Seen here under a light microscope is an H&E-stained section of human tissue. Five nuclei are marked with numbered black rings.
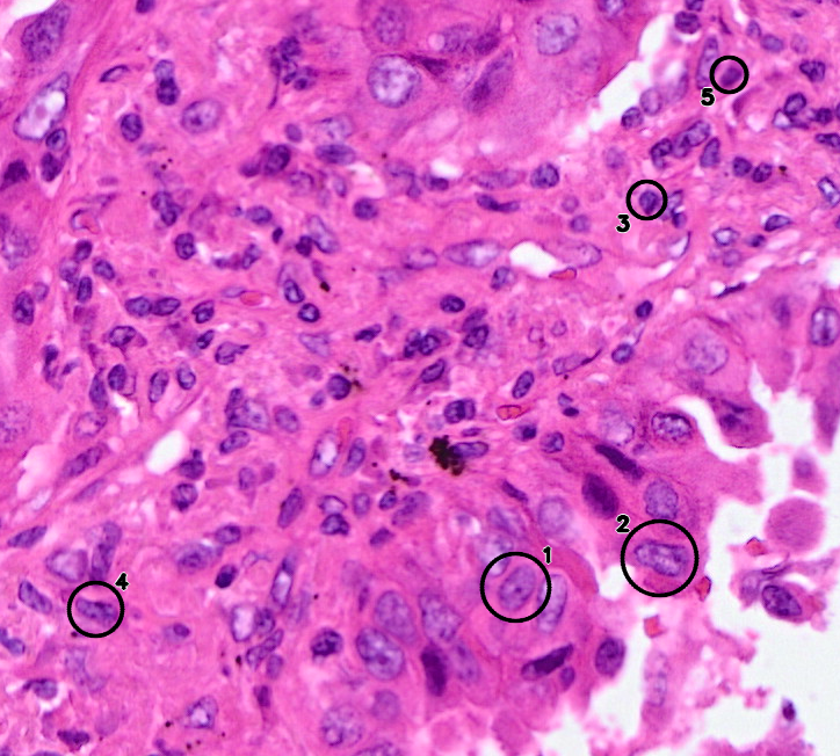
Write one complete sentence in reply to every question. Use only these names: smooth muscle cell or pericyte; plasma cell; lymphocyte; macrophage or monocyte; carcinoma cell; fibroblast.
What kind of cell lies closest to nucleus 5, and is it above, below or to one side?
The nearest one is a macrophage or monocyte, found above and to the left of nucleus 5.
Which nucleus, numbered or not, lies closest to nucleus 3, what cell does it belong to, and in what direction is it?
Just to the right of nucleus 3 lies the nearest nucleus, which belongs to a fibroblast.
